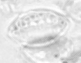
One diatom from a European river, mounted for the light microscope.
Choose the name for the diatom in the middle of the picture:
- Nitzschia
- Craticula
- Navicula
Nitzschia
